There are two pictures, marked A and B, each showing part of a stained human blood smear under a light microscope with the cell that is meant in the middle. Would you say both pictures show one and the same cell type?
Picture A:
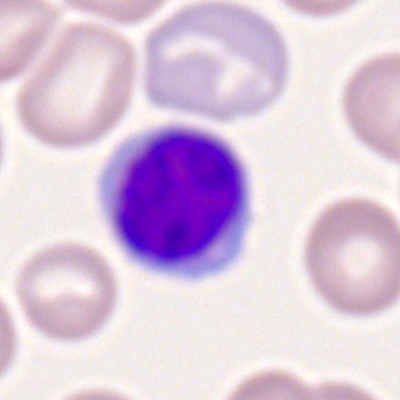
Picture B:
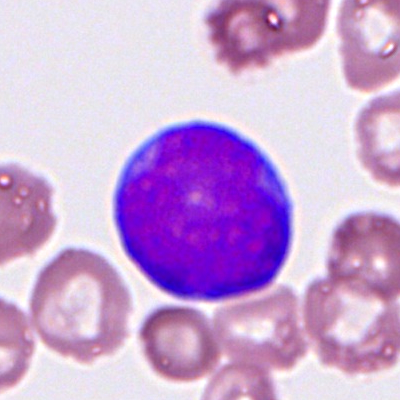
no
